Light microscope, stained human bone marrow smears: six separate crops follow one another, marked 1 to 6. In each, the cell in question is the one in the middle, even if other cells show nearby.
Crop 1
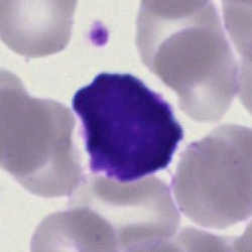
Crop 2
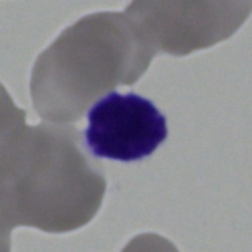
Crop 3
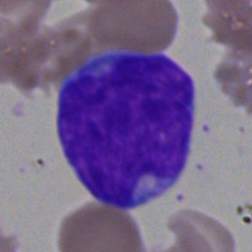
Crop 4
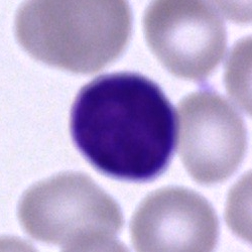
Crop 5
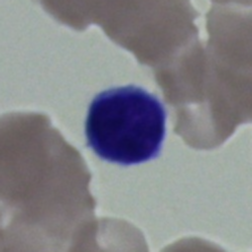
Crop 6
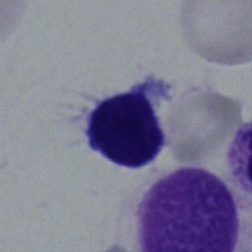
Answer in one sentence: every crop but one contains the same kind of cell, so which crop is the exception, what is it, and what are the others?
Crop 3 does not fit, being a blast where all the others show lymphocytes.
